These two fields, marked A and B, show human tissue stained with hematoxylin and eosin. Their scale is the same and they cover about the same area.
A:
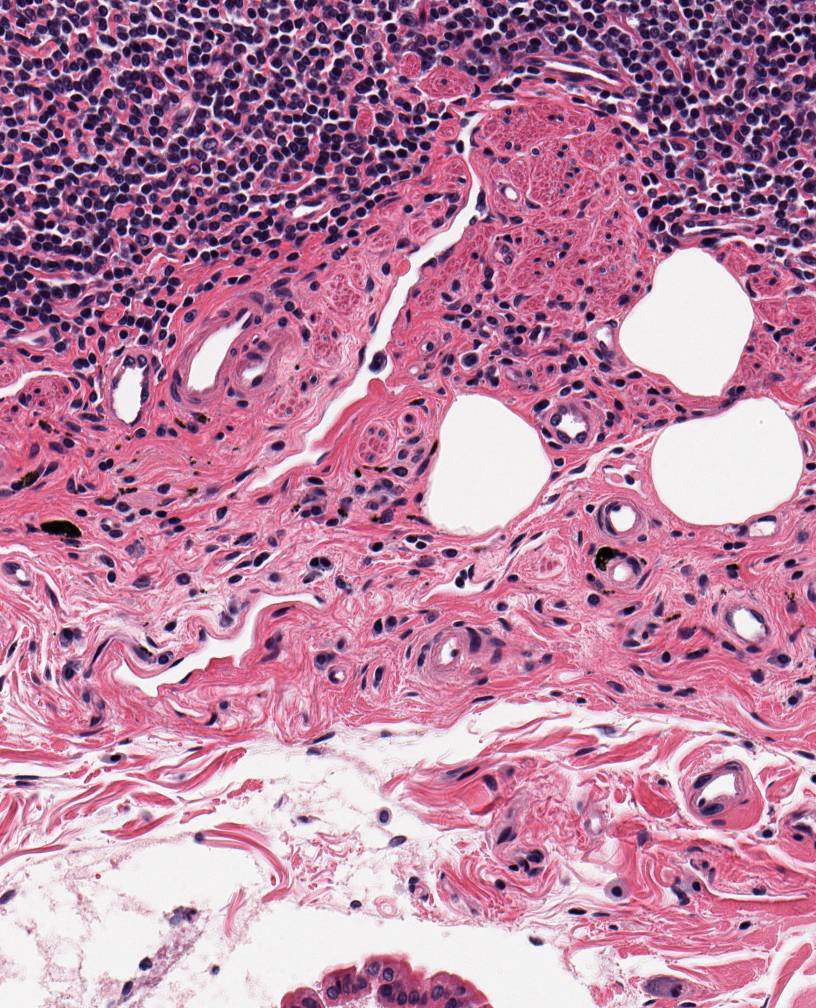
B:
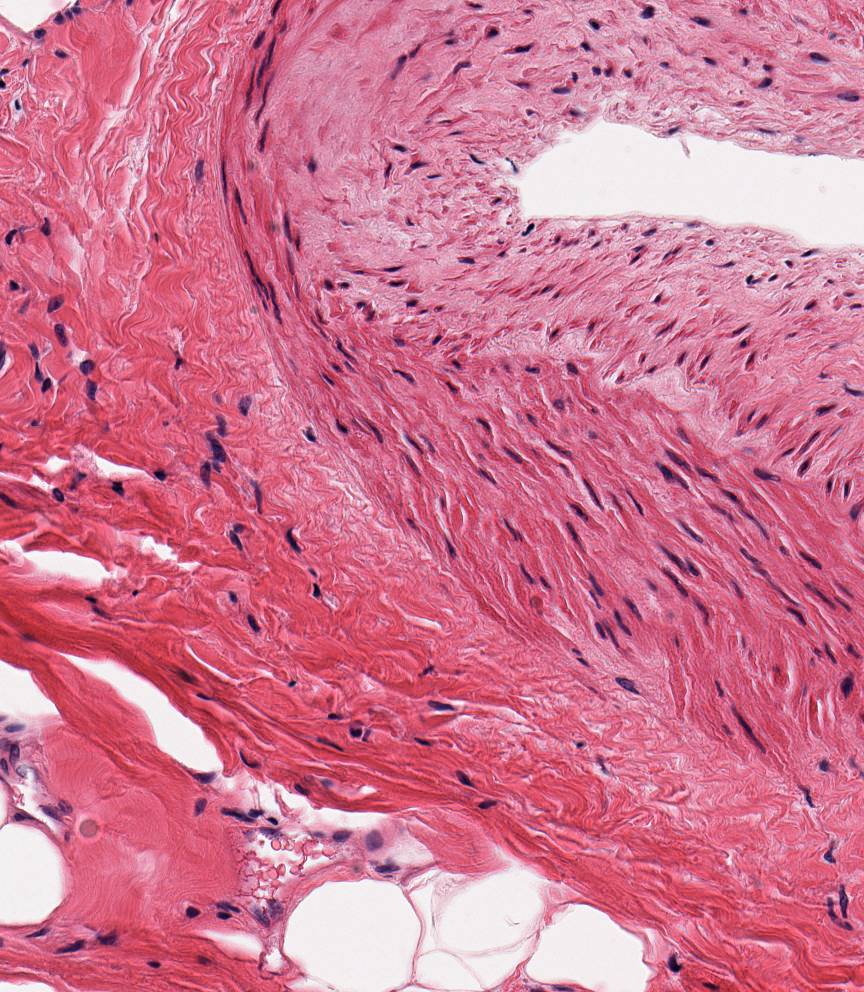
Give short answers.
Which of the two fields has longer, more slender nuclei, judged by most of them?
B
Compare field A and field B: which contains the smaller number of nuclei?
B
